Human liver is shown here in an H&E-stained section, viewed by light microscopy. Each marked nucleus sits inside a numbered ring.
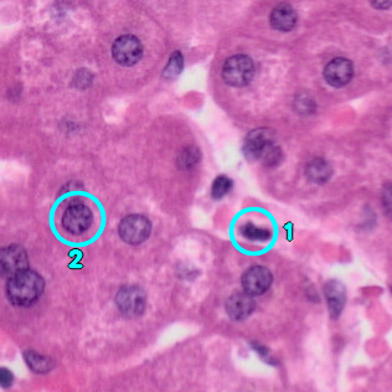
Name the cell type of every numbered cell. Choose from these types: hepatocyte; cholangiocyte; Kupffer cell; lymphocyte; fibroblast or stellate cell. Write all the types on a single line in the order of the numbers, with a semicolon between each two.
lymphocyte; hepatocyte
